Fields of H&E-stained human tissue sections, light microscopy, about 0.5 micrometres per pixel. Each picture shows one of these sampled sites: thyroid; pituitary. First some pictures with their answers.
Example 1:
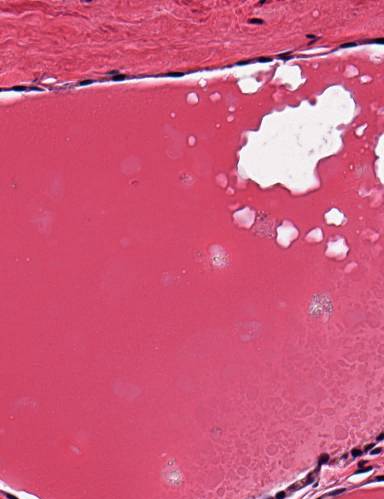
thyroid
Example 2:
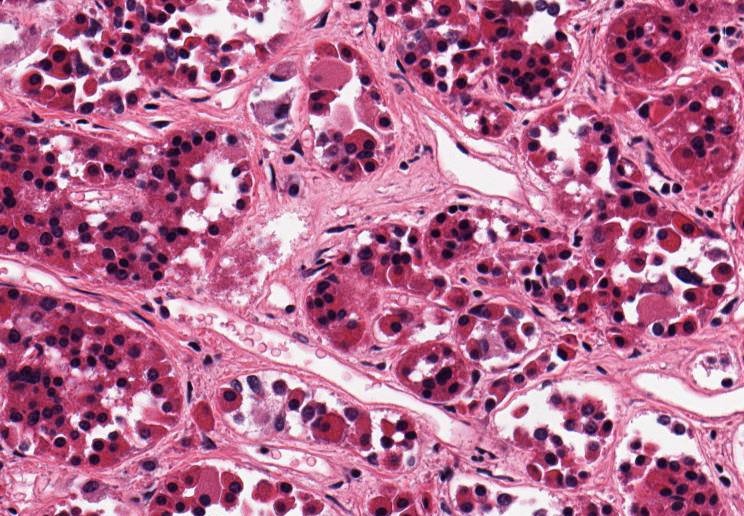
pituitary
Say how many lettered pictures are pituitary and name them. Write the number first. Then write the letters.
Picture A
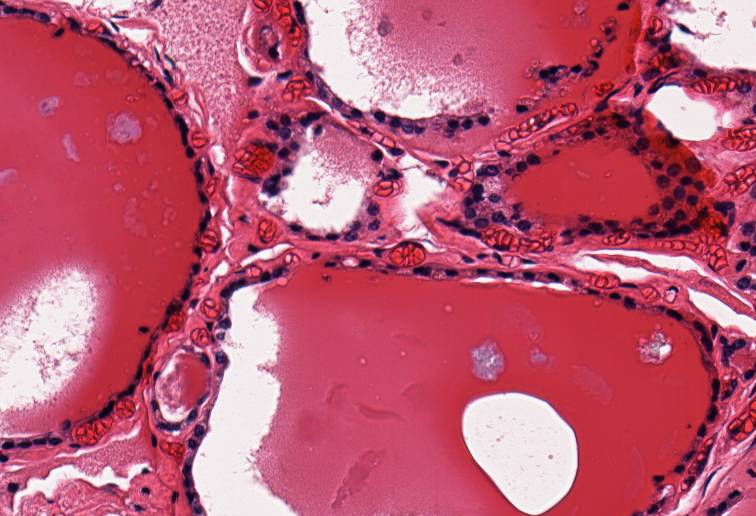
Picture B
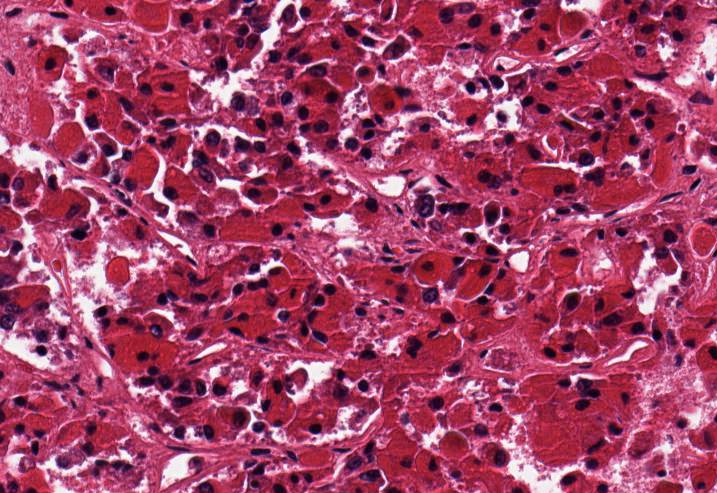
1: B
